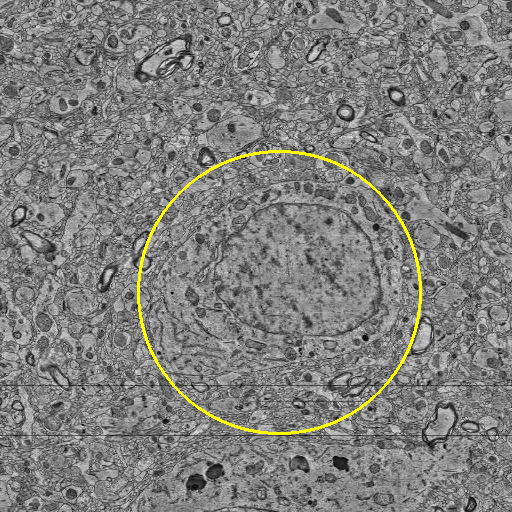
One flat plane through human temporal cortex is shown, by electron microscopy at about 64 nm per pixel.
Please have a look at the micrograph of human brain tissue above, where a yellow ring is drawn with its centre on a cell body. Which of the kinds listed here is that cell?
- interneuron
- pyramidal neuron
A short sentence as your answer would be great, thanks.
At the centre of the ring sits an interneuron.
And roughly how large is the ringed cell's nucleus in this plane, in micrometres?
The ringed cell's nucleus is about 11 micrometres long and 9 micrometres wide in this plane.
